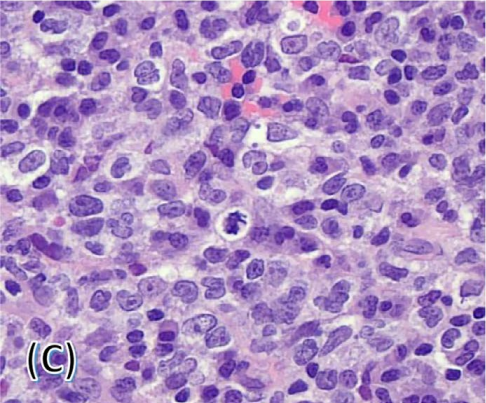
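This shows a dense sheet of large, round lymphoid cells lying diffusely with little intervening stroma. Near the centre a cell shows condensed, clumped chromosomes of a mitotic figure. A few red blood cells are scattered between the cells.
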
